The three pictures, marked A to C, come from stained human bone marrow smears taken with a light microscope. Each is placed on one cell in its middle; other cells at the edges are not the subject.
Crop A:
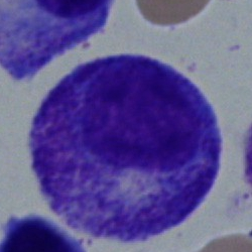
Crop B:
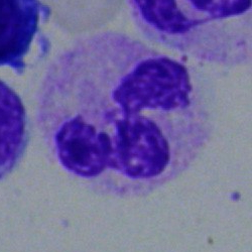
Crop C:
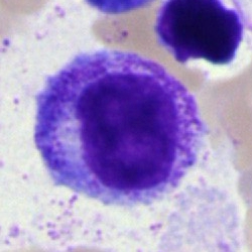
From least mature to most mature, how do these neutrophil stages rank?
A, C, B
